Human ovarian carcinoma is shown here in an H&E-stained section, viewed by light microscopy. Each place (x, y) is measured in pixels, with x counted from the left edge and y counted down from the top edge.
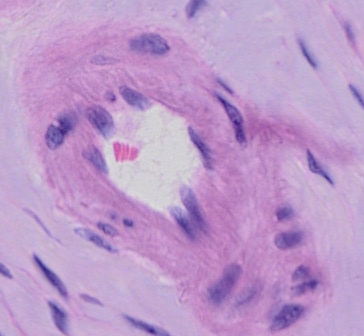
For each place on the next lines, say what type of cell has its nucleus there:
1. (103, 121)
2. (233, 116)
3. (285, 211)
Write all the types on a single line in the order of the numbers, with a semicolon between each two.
endothelial cell; smooth muscle cell; smooth muscle cell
